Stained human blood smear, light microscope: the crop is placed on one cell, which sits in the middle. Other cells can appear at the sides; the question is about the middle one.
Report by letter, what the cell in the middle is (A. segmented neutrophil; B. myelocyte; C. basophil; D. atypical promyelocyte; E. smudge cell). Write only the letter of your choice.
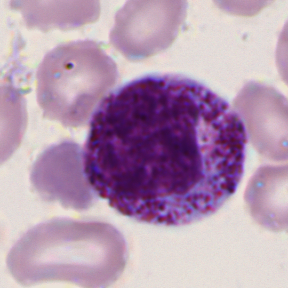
B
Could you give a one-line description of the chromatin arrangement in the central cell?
This nucleus has coarsely clumped chromatin.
